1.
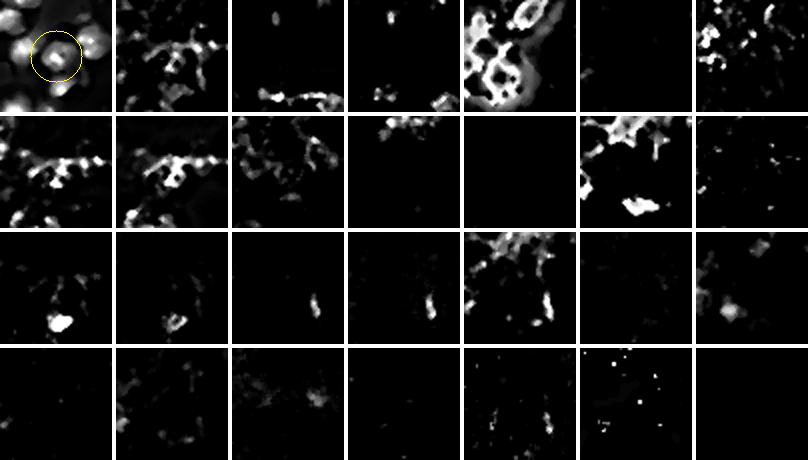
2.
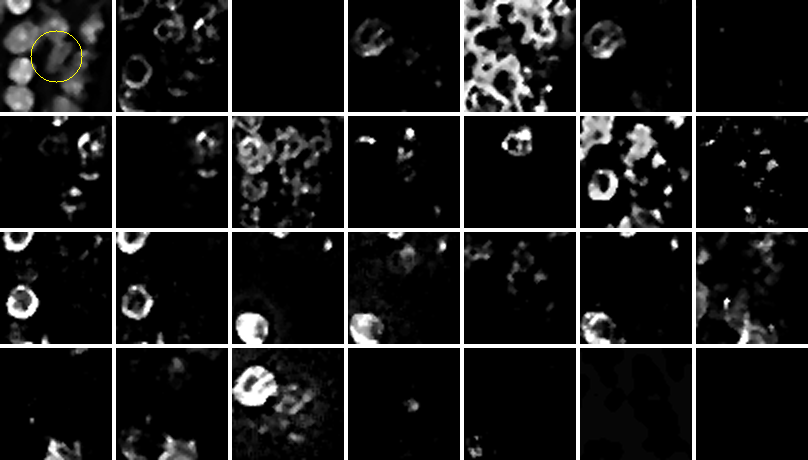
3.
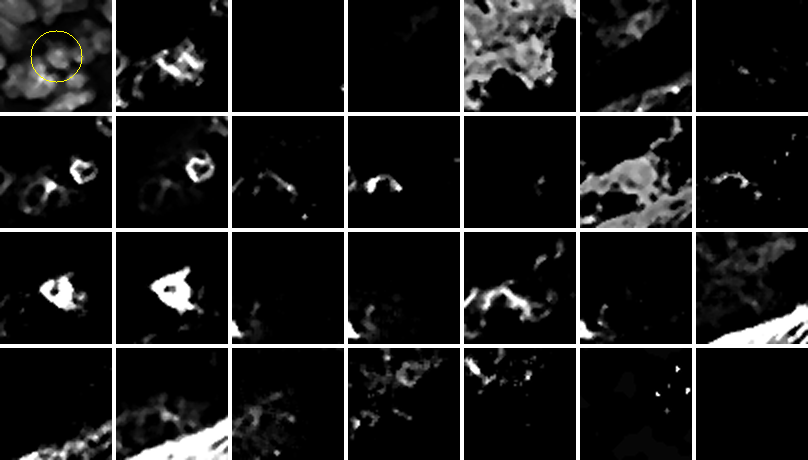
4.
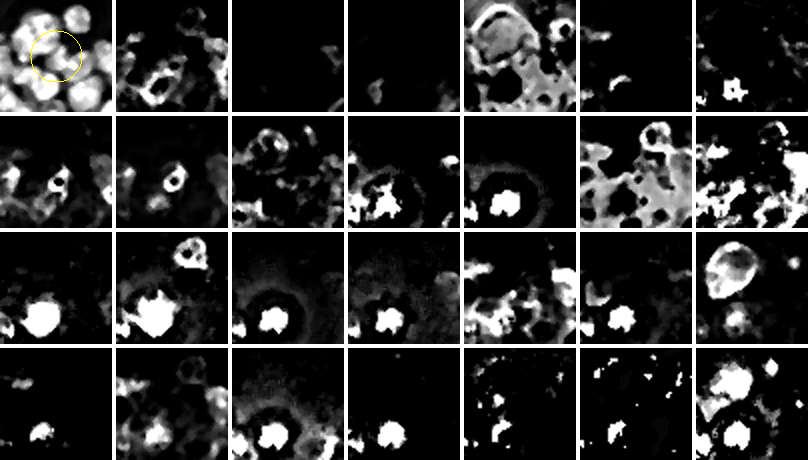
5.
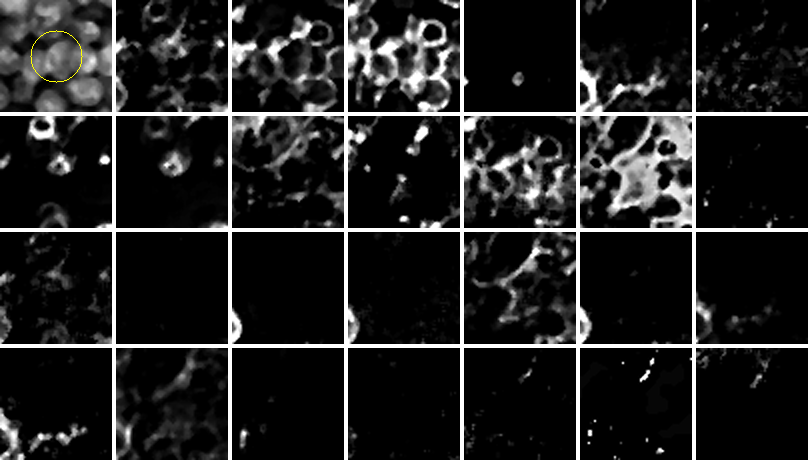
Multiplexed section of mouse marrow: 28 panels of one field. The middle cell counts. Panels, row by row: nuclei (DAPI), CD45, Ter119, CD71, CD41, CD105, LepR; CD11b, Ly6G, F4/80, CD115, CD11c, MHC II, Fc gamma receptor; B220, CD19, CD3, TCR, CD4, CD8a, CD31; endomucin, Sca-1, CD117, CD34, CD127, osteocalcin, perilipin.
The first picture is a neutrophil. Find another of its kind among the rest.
Picture 4.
